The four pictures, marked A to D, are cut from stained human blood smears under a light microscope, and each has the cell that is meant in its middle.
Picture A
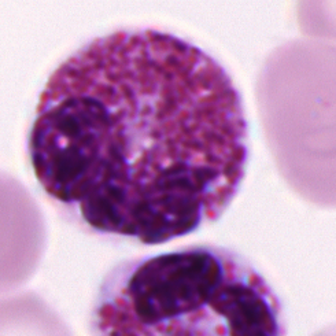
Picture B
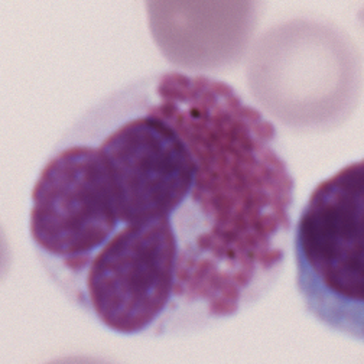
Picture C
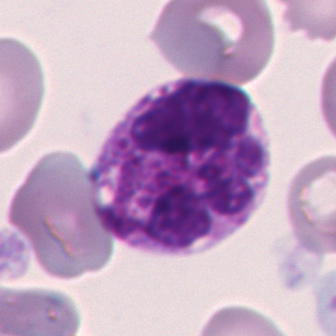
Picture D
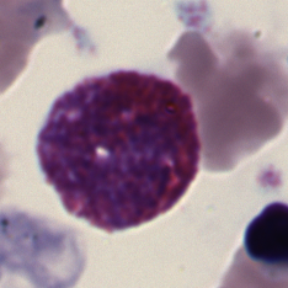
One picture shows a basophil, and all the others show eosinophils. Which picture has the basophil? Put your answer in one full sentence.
The cell in picture C is the basophil.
